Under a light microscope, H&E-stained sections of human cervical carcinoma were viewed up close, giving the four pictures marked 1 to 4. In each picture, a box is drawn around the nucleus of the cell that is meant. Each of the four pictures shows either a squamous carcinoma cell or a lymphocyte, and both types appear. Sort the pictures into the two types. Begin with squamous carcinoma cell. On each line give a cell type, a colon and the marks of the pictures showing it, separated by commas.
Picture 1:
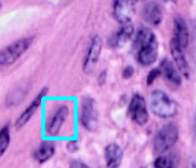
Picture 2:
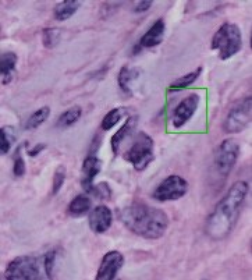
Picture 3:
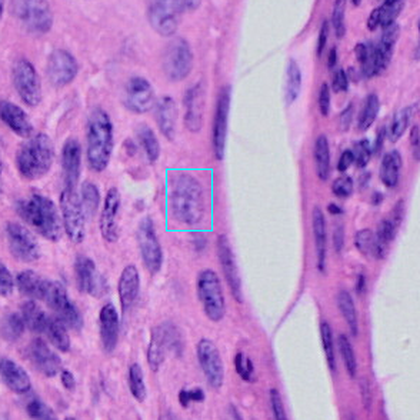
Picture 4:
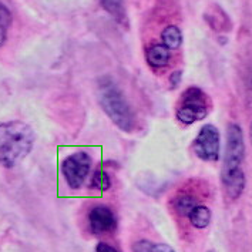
squamous carcinoma cell: 1, 3
lymphocyte: 2, 4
